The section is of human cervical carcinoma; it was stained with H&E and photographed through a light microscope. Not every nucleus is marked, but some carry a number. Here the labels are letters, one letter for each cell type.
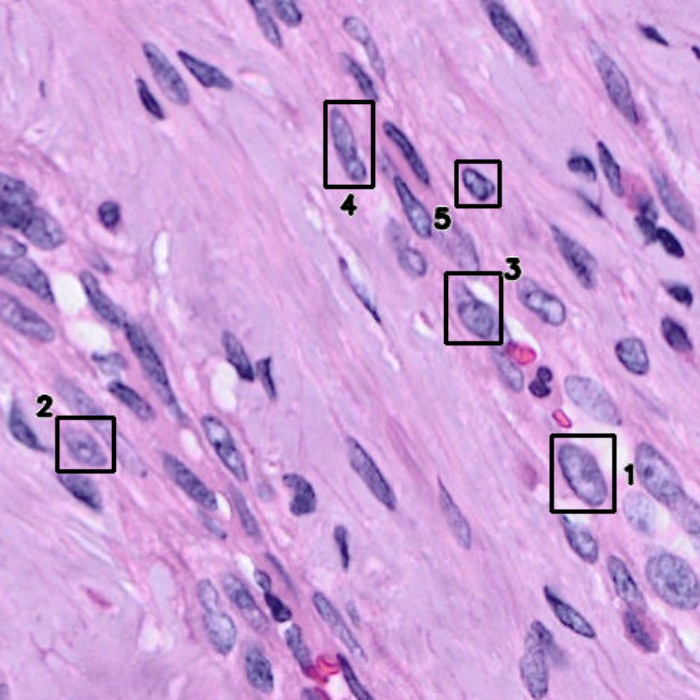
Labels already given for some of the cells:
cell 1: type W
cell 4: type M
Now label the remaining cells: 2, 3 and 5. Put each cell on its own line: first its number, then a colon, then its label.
2: type M
3: type W
5: type M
